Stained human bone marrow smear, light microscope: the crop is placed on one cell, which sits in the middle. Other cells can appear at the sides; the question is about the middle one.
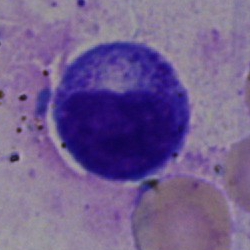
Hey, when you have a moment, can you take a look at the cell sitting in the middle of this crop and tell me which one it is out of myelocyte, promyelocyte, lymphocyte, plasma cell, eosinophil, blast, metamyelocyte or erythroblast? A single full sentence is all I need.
The cell in the exact centre of the crop is a myelocyte.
